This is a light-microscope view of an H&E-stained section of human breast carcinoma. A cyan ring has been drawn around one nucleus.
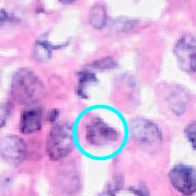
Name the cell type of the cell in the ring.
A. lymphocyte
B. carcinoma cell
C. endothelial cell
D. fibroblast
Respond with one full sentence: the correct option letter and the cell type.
Of all the options, B is right, since the cell in the ring is a carcinoma cell.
